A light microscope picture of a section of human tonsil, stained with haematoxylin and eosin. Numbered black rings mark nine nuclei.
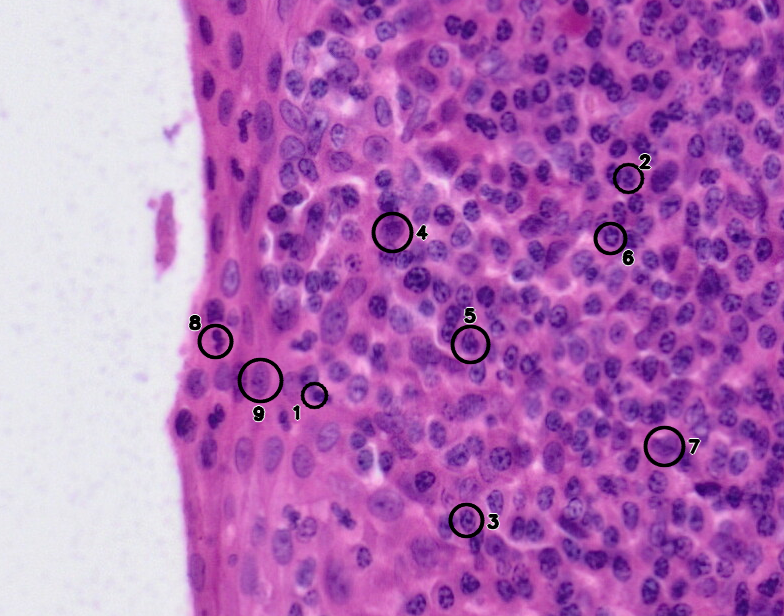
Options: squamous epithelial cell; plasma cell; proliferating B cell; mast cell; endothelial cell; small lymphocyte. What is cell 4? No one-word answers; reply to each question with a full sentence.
Regarding cell 4, this one is a squamous epithelial cell.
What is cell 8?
The cell given label 8 is a squamous epithelial cell.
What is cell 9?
The cell marked with the number 9 is a squamous epithelial cell.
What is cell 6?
In this section, number 6 marks a plasma cell.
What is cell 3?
The cell whose nucleus carries the number 3 is a plasma cell.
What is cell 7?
Among the marked cells, number 7 is a squamous epithelial cell.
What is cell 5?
The numbered cell 5 in this field is a plasma cell.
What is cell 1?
Marked with the number 1, this cell is a squamous epithelial cell.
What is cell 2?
The marked cell with the number 2 is recognised as a plasma cell.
